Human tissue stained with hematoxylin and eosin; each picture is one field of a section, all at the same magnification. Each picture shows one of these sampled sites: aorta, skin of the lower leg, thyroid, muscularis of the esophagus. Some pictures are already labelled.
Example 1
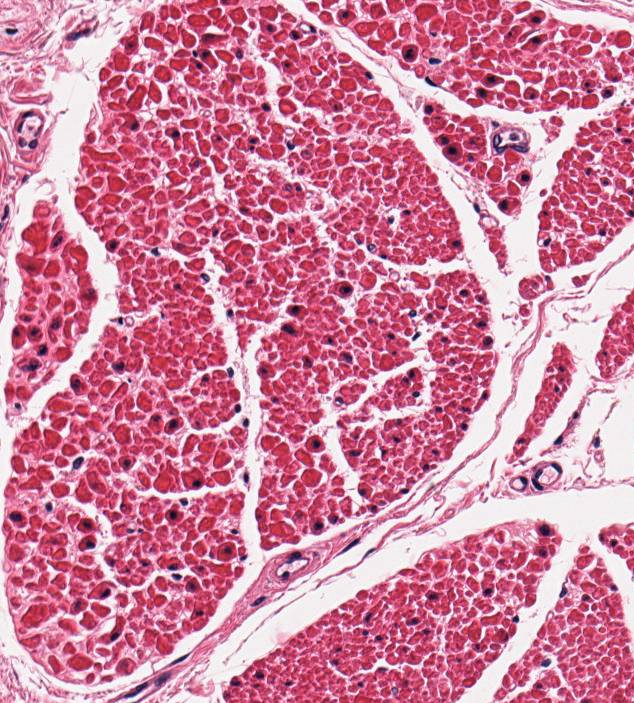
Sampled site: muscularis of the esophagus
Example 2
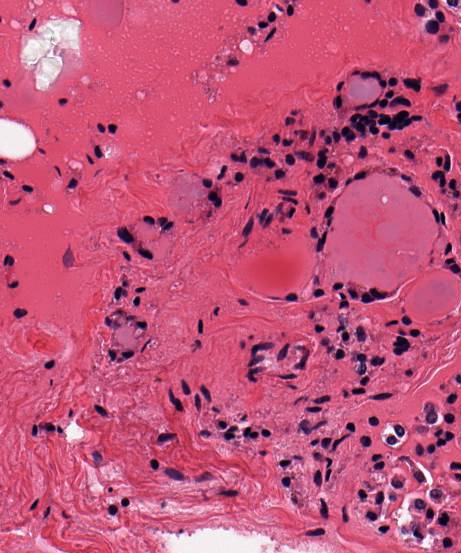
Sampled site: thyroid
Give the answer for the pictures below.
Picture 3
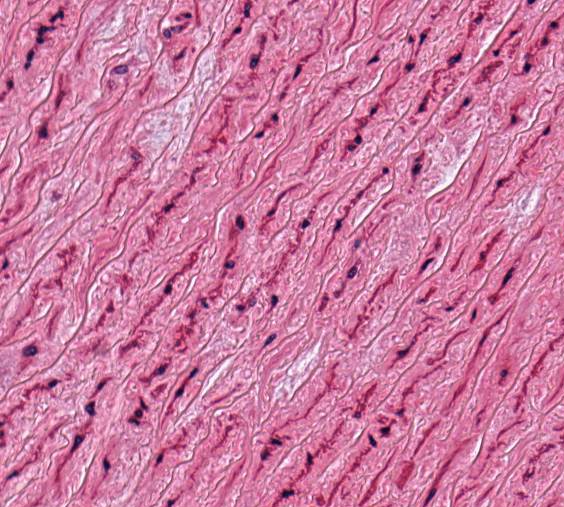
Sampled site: aorta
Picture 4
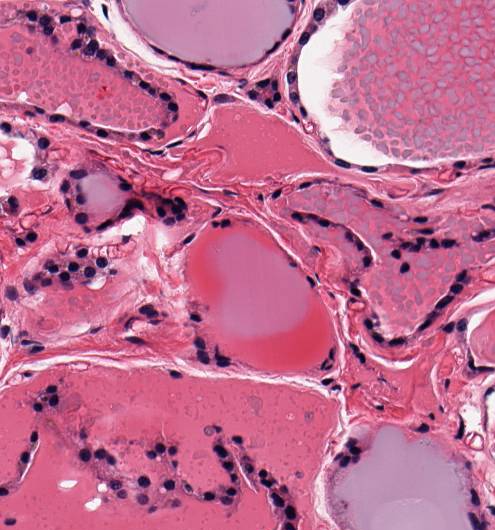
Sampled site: thyroid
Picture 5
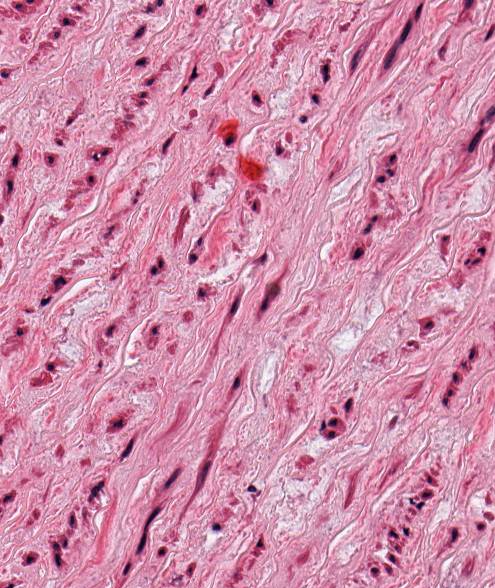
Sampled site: aorta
